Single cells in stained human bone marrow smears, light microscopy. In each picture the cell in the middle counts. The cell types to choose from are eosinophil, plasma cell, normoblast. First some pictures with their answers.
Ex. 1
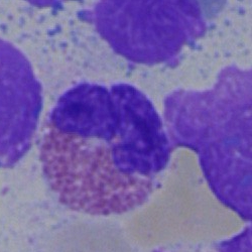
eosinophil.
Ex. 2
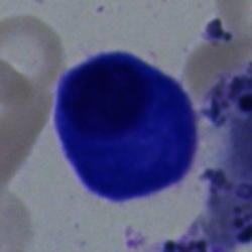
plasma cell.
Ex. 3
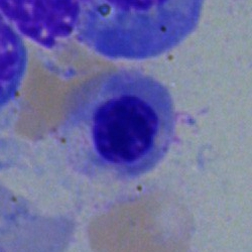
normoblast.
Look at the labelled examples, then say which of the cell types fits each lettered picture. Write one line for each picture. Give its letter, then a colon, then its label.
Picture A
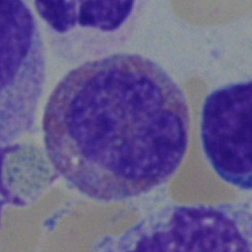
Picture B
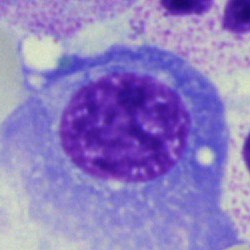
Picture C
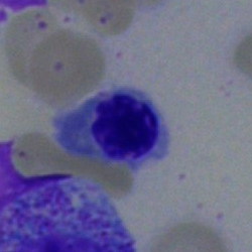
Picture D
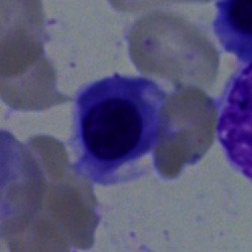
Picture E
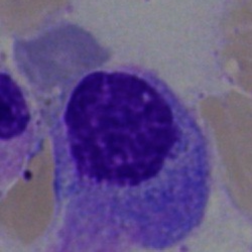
A: eosinophil.
B: plasma cell.
C: normoblast.
D: normoblast.
E: plasma cell.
